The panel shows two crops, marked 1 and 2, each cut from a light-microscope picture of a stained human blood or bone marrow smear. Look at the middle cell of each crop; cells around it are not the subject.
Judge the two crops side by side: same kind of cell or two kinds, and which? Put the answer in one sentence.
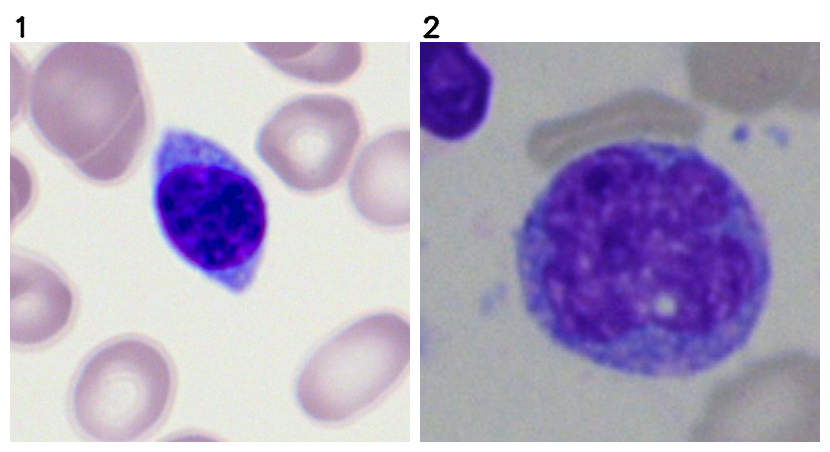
No, as for crop 1, it shows a lymphocyte, and crop 2 shows a blast.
